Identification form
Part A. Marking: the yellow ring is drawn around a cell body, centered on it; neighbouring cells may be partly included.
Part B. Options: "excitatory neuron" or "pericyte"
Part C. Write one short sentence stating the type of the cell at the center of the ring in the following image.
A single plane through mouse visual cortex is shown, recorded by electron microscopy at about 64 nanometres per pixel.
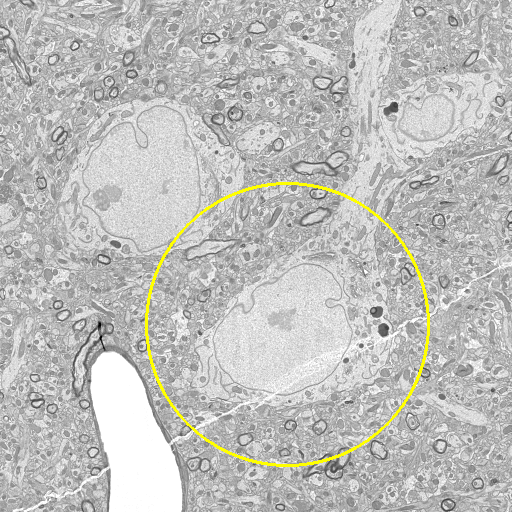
The center of the ring holds an excitatory neuron.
